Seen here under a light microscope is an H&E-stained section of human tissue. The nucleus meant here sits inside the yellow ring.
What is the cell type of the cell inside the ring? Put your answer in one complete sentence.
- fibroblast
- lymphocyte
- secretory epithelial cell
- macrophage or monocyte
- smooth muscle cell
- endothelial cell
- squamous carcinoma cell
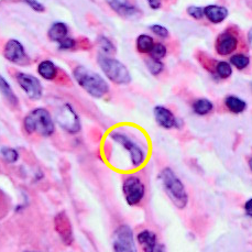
The cell meant here is an endothelial cell.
